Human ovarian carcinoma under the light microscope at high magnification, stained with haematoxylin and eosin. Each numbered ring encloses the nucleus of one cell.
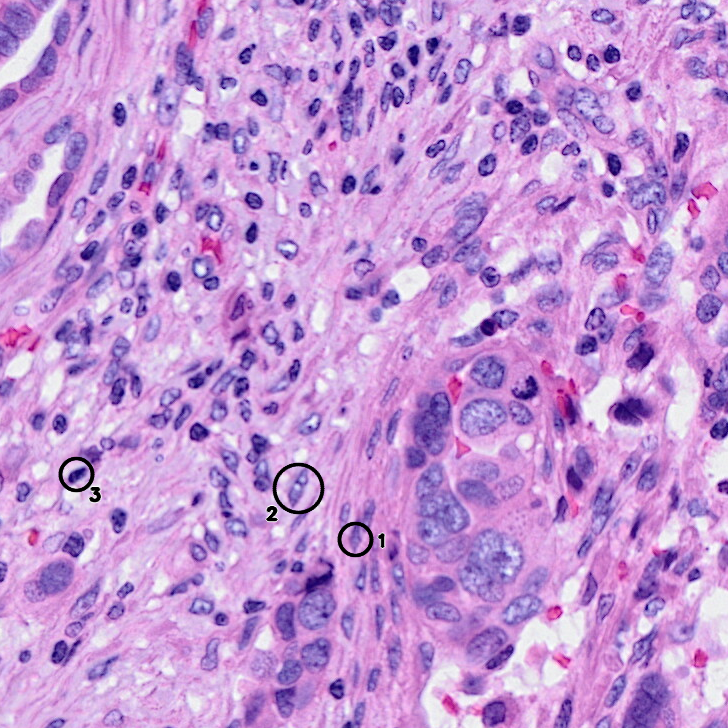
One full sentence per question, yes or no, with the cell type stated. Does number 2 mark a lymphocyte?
No, cell 2 does not represent a lymphocyte; it represents a fibroblast.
